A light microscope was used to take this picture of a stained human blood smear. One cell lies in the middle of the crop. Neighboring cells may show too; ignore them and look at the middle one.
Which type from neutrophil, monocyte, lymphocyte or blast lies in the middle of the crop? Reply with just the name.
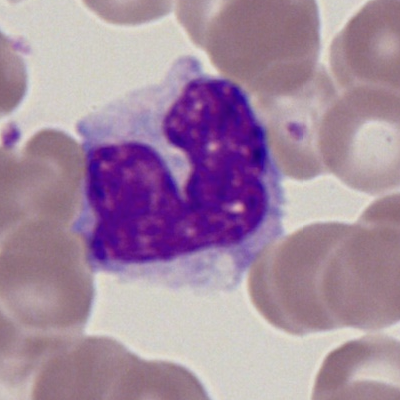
monocyte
